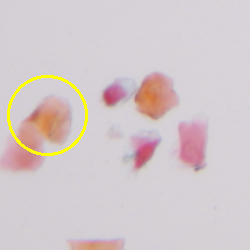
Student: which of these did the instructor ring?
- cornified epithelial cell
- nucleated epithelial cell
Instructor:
The cell I ringed is a cornified epithelial cell.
